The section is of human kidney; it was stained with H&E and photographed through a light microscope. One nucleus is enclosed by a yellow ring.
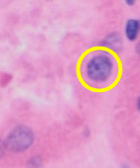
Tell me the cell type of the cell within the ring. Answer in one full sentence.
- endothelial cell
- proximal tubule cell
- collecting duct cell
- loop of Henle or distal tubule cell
Assigned to a cell type, the cell within the ring is a proximal tubule cell.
